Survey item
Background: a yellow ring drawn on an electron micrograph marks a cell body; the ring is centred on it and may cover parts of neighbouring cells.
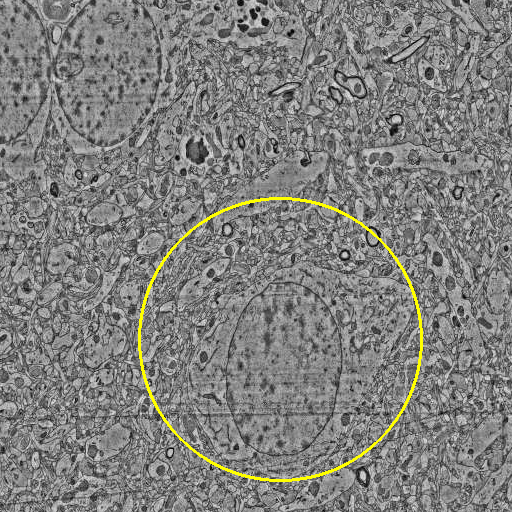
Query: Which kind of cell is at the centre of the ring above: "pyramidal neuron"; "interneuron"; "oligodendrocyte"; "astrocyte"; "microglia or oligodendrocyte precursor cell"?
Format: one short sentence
The cell in the middle of the ring is a pyramidal neuron.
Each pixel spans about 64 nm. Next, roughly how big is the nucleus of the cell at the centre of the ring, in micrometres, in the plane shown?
About 11 by 7 micrometers in this plane, so the nucleus is clearly longer than it is wide.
